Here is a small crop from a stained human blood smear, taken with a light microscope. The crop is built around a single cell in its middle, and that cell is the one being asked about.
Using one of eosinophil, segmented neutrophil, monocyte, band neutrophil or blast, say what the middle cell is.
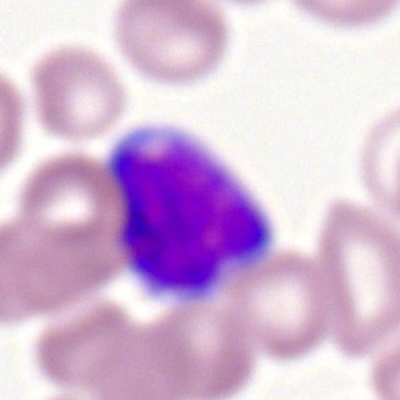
blast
